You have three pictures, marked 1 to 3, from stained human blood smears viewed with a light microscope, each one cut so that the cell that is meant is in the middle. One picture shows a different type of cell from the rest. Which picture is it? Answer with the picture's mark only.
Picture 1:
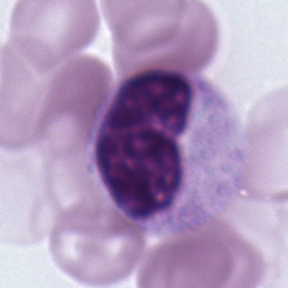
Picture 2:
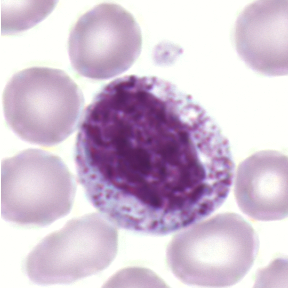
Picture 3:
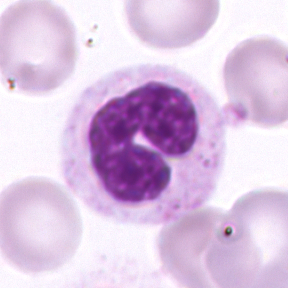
2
